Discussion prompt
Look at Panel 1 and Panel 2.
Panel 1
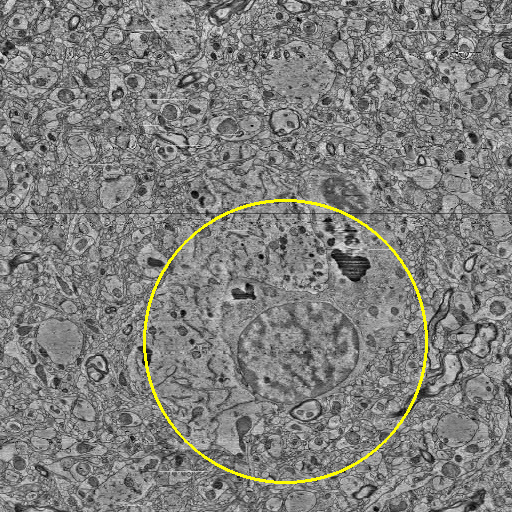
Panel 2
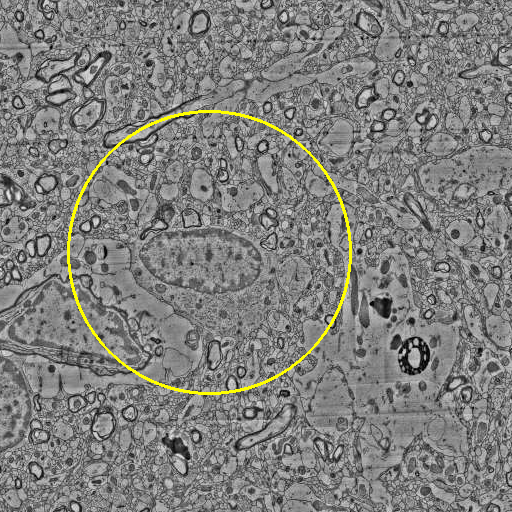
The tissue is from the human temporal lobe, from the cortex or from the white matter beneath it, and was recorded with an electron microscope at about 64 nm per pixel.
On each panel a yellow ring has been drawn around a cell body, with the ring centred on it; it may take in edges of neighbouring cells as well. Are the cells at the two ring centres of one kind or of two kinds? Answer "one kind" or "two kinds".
one kind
